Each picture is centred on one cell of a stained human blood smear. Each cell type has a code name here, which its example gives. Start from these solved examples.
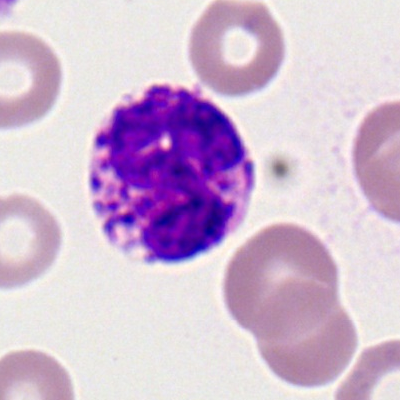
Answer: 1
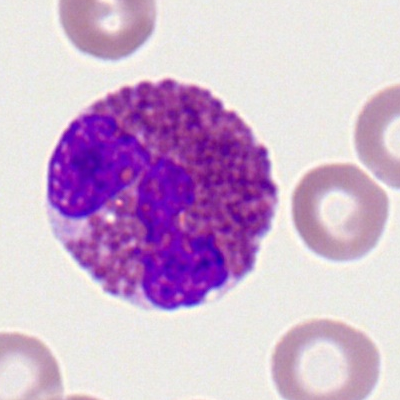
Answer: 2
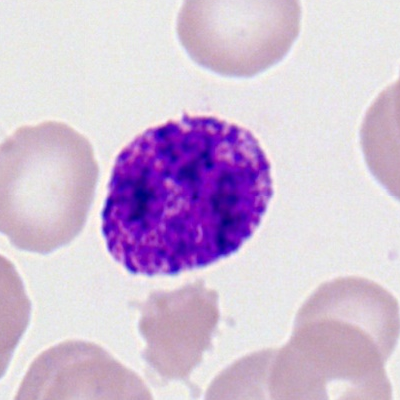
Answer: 1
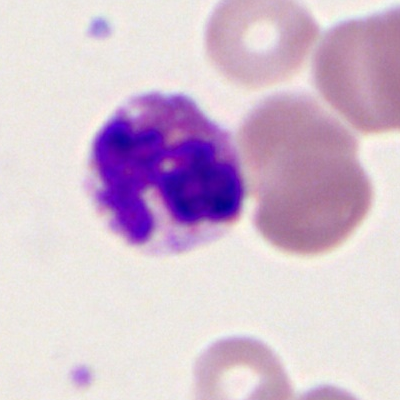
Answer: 2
